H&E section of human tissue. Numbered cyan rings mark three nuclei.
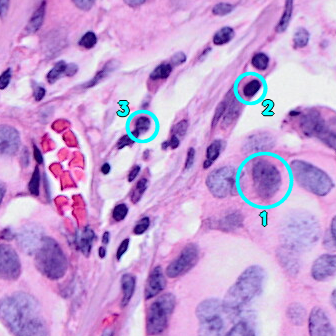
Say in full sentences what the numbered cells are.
Cell 1 is a carcinoma cell, cell 2 is a lymphocyte and cell 3 is a lymphocyte.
